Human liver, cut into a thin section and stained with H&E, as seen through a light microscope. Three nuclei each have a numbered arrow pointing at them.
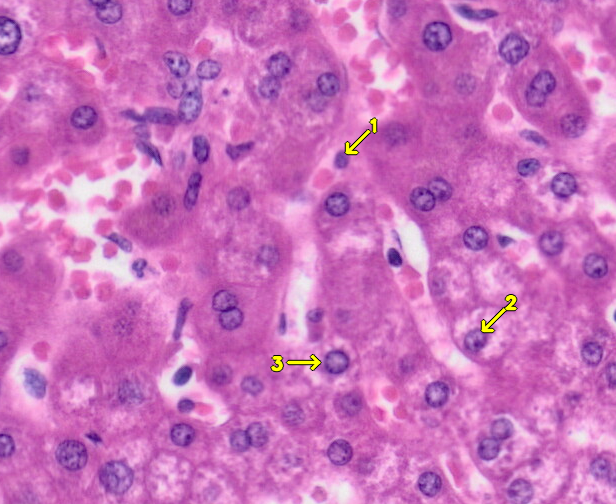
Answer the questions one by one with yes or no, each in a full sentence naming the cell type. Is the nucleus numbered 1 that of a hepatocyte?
No, the cell at number 1 is a lymphocyte instead of a hepatocyte.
